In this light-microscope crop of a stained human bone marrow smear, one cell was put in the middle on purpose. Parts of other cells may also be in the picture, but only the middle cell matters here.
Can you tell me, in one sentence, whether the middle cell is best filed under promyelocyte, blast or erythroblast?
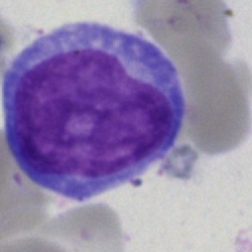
Classification of the middle cell gives a blast.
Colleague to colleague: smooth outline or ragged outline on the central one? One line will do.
Smooth all around, the outline has no projections to report.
